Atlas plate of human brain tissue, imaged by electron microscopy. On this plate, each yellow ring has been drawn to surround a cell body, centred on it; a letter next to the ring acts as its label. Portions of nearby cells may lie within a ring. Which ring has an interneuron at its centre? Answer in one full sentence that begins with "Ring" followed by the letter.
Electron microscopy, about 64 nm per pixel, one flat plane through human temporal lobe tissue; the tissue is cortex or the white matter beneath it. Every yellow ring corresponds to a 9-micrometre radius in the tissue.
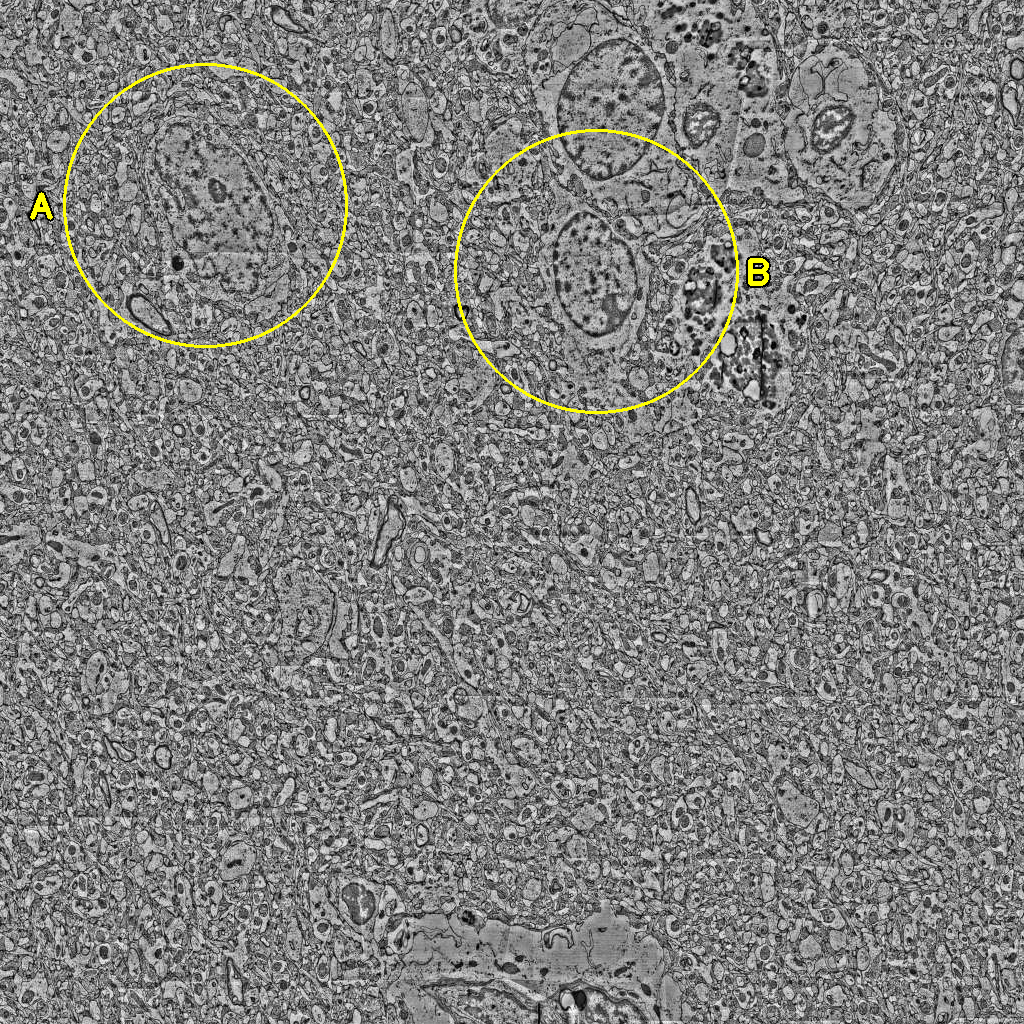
Ring A is drawn around the requested cell, which lies at its centre in the picture.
